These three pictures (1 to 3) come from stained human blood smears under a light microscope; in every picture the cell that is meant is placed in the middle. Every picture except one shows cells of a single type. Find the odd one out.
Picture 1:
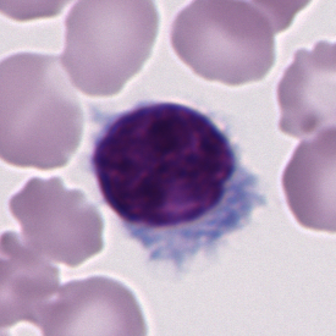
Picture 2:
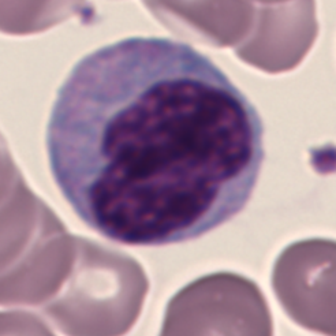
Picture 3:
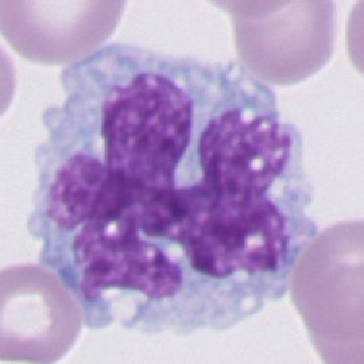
1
